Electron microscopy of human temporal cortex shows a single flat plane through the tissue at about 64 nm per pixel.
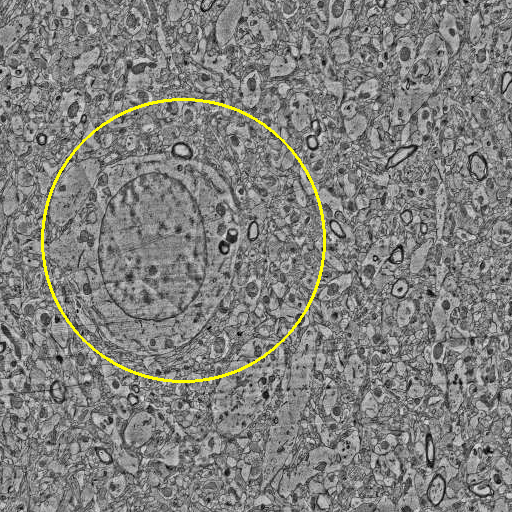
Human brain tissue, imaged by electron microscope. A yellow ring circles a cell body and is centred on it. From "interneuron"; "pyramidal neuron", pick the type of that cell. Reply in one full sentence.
The cell body at the centre of the yellow ring belongs to a pyramidal neuron.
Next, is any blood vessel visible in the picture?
No.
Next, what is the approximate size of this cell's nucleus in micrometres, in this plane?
Approximately 9 x 7 micrometres in this plane.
